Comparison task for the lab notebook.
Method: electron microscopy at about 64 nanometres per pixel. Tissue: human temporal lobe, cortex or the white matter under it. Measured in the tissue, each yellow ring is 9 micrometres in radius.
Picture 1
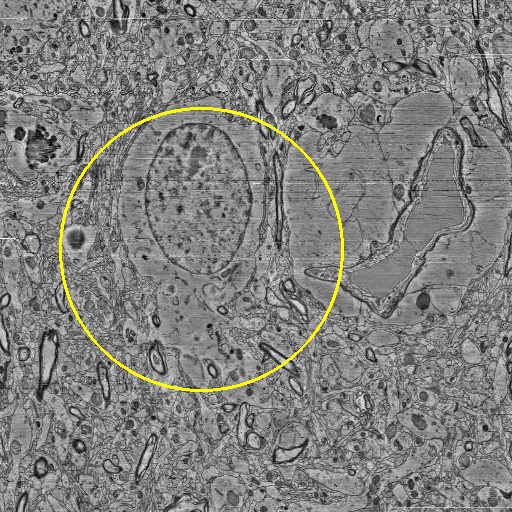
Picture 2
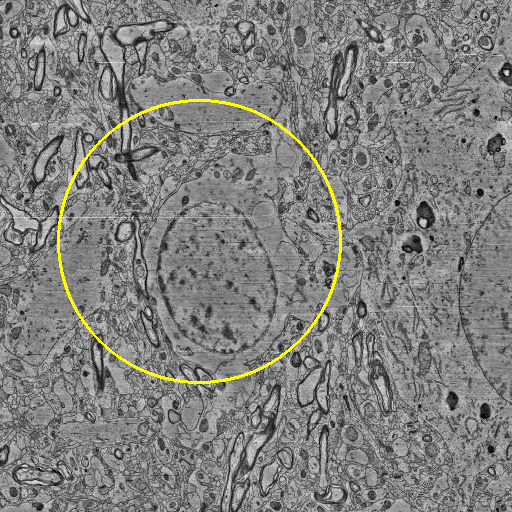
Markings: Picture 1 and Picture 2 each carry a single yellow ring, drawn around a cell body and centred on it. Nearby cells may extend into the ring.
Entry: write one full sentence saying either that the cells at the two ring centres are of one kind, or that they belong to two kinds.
The cells sitting at the ring centres in Picture 1 and Picture 2 are of one kind.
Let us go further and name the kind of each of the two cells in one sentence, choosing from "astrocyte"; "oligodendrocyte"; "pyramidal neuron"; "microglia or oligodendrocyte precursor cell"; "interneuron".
Each of the two rings is centred on an astrocyte.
